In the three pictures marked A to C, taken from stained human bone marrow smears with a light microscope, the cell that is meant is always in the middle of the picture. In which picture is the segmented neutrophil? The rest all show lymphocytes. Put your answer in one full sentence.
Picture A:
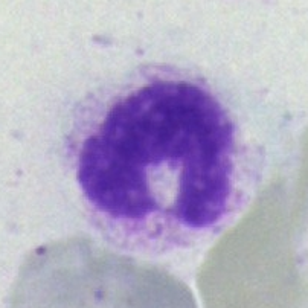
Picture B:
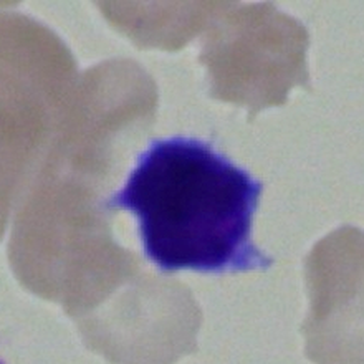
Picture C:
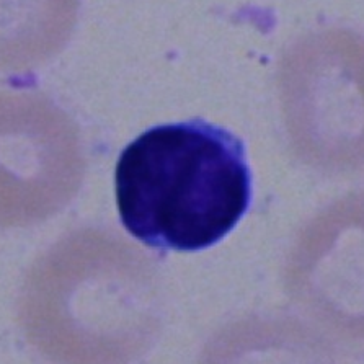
The picture with the segmented neutrophil is A.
